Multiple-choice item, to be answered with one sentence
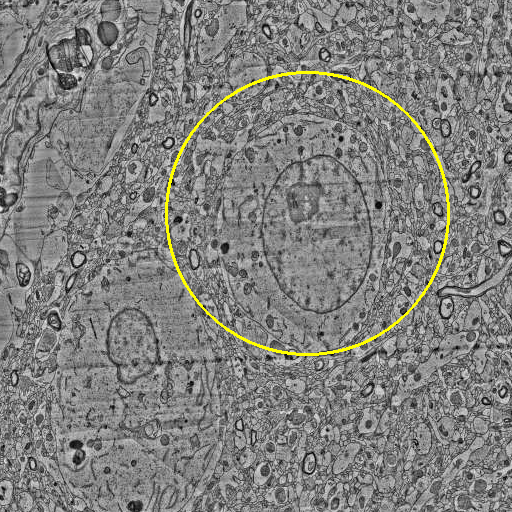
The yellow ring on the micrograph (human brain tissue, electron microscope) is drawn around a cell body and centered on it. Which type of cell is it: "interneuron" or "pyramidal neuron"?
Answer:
The ring is centered on a pyramidal neuron.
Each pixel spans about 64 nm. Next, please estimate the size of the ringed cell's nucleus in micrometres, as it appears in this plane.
The nucleus has a long axis of about 10 micrometres and a short axis of about 7 micrometres in this plane.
